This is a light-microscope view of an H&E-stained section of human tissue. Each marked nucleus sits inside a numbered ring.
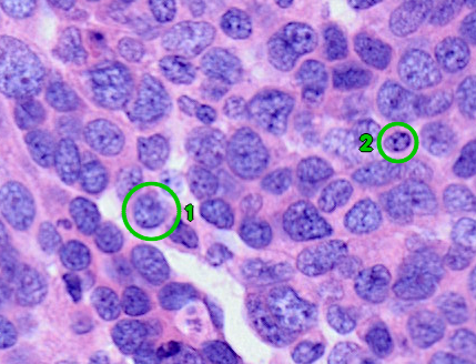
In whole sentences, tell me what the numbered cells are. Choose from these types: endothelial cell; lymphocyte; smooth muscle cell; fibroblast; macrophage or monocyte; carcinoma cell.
Cell 1 is a carcinoma cell. Cell 2 is a macrophage or monocyte.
